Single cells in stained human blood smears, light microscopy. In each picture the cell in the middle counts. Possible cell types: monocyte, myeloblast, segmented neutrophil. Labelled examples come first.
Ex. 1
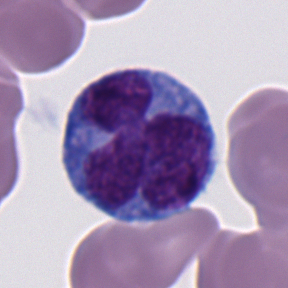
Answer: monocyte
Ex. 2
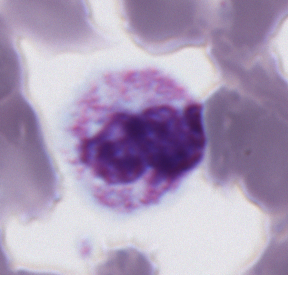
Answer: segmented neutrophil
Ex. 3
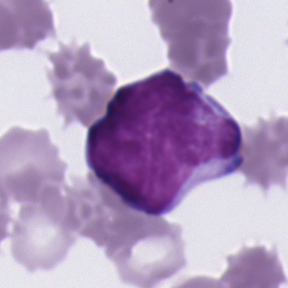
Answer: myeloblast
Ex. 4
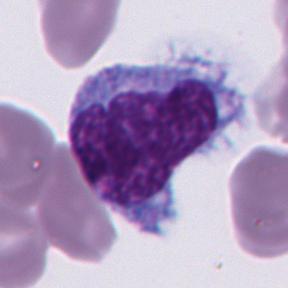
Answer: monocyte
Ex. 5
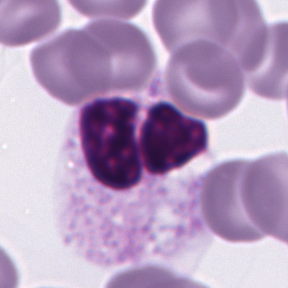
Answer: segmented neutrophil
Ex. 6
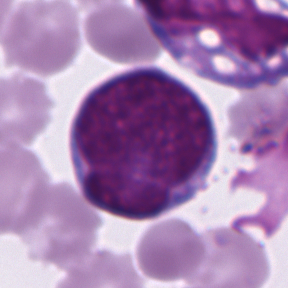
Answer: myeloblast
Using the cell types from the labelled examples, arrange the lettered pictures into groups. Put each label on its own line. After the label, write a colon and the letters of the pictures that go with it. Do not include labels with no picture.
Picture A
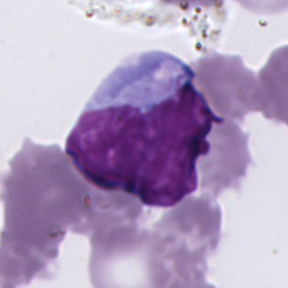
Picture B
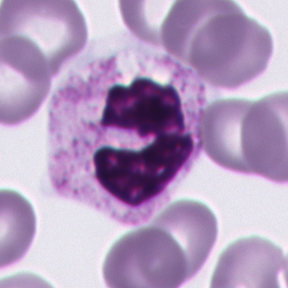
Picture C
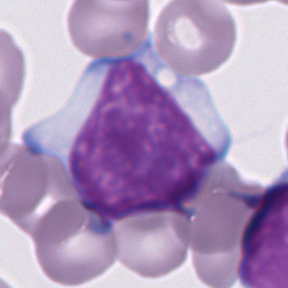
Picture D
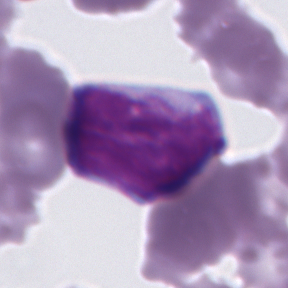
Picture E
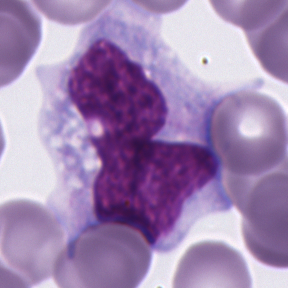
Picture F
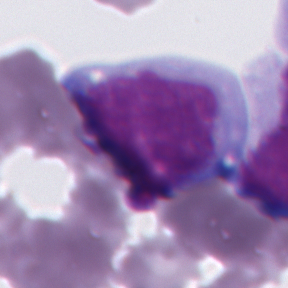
monocyte: E
myeloblast: A, C, D, F
segmented neutrophil: B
